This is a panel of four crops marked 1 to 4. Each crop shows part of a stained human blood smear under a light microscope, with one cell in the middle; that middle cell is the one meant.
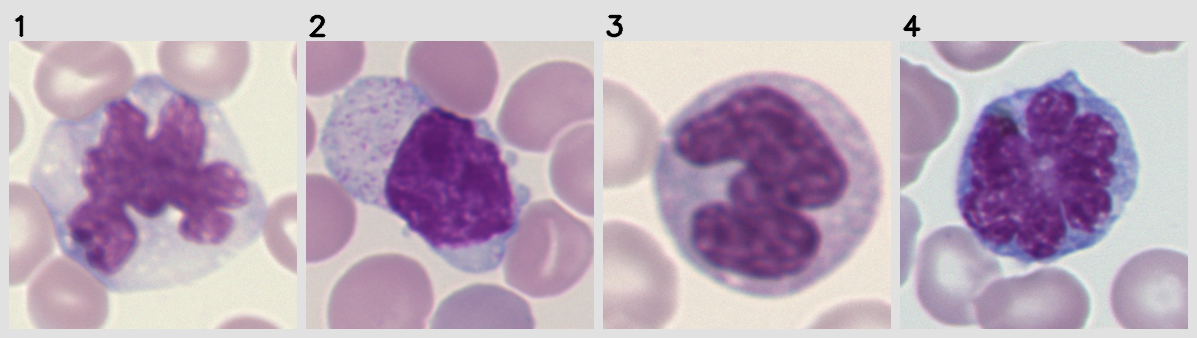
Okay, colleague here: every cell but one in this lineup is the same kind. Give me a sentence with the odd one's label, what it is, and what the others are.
Seen in crop 2 is a large granular lymphocyte, and seen in all other crops are monocytes.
